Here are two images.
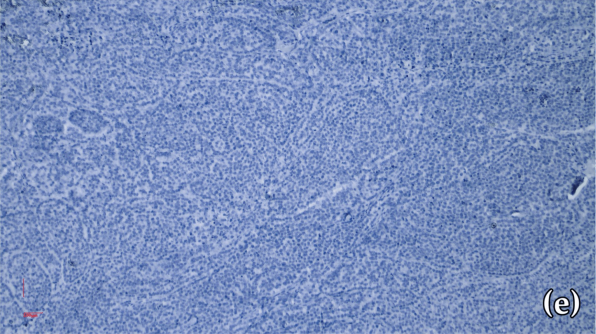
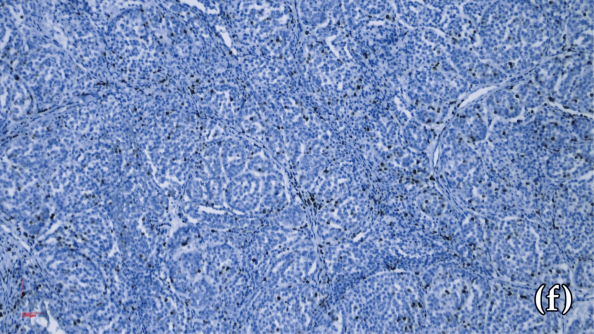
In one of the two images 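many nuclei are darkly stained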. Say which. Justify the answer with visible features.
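The second image. First image: the tissue is uniformly blue with no dark nuclear staining. Second image: numerous dark brown-black dots of nuclear size are scattered across the tissue.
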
